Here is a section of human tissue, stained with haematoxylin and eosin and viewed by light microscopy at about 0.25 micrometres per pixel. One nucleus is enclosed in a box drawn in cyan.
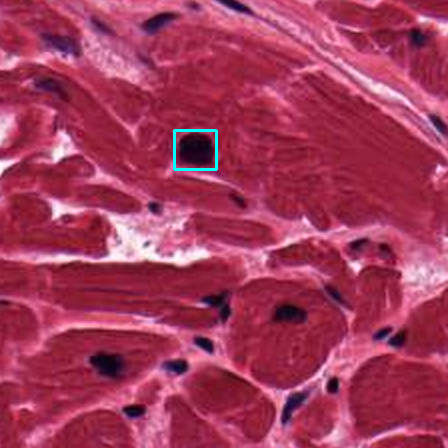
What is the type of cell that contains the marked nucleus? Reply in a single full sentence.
Part of a cardiomyocyte is the marked nucleus.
